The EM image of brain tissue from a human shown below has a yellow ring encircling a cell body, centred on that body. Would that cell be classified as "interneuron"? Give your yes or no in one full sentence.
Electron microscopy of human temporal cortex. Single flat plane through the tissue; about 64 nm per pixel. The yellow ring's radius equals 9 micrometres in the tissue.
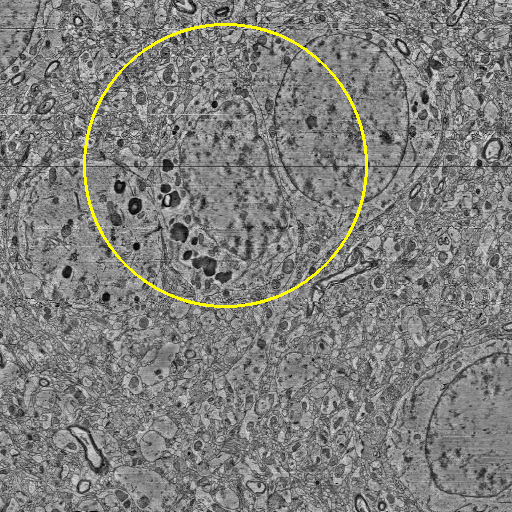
Yes, the cell at the centre of the ring in the picture falls in that class.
